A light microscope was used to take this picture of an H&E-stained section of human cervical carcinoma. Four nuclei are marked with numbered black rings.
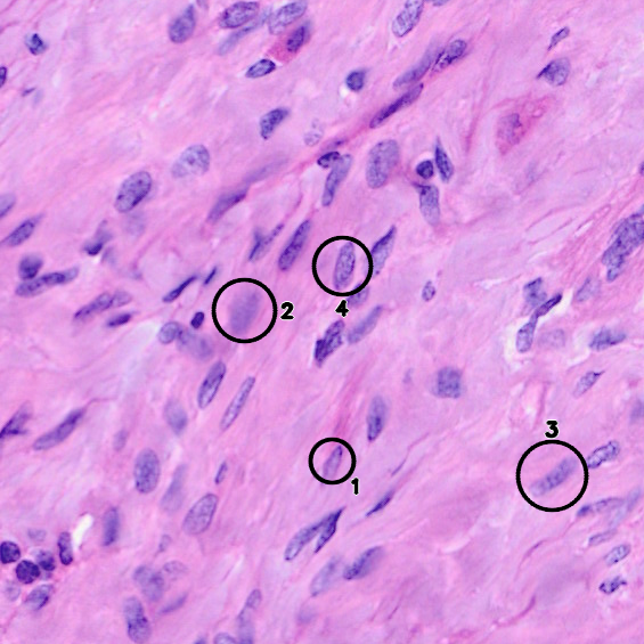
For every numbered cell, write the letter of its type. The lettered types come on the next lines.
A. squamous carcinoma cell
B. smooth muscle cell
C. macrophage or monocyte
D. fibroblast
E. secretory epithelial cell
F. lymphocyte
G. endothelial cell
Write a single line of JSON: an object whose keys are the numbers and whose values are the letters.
{"1": "B", "2": "D", "3": "D", "4": "D"}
